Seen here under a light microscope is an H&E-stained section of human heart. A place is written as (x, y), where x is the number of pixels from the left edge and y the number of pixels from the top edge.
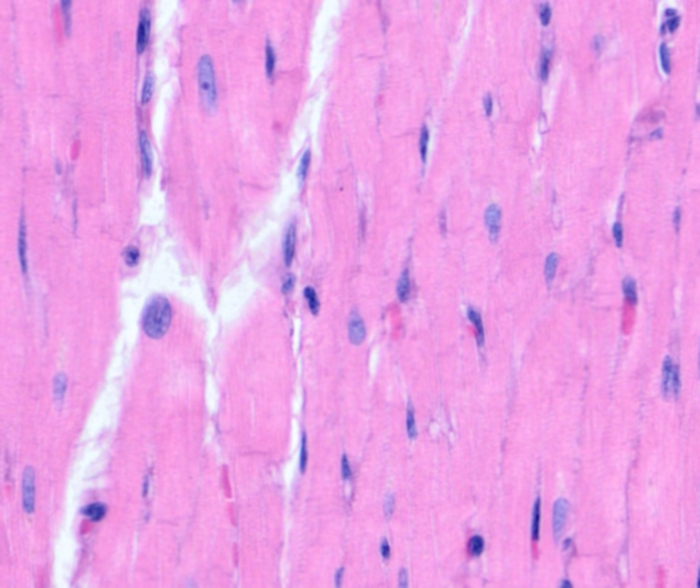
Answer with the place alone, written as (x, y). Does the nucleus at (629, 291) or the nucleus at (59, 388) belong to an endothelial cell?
(629, 291)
